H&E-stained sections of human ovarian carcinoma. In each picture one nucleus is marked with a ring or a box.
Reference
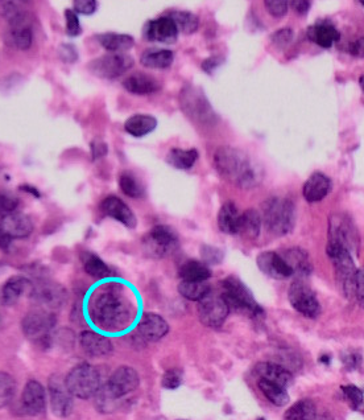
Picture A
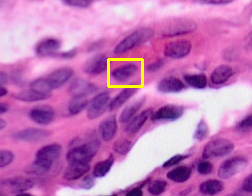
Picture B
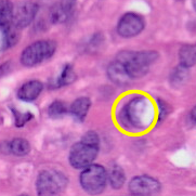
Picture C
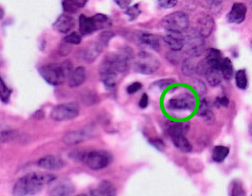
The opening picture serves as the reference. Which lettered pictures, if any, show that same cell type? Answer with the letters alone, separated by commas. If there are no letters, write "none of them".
C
